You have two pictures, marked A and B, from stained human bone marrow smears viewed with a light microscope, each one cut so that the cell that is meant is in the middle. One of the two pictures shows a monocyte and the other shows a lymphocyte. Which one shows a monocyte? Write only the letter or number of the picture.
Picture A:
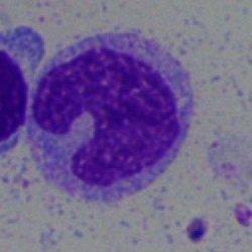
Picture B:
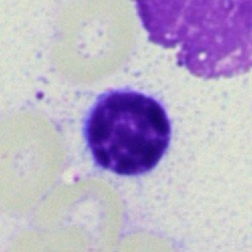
A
